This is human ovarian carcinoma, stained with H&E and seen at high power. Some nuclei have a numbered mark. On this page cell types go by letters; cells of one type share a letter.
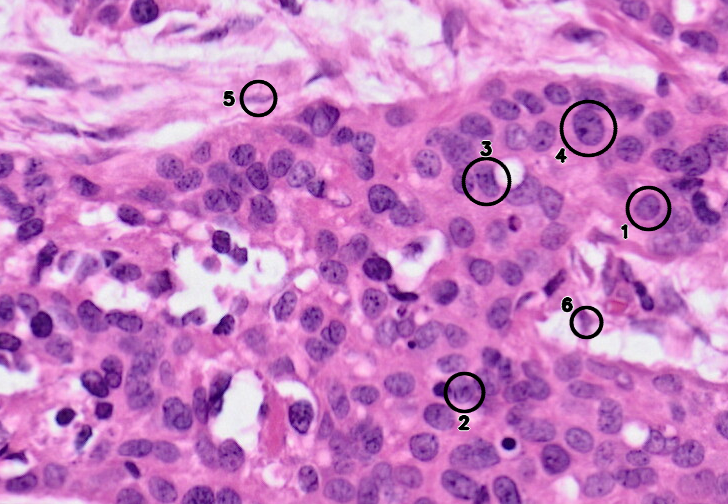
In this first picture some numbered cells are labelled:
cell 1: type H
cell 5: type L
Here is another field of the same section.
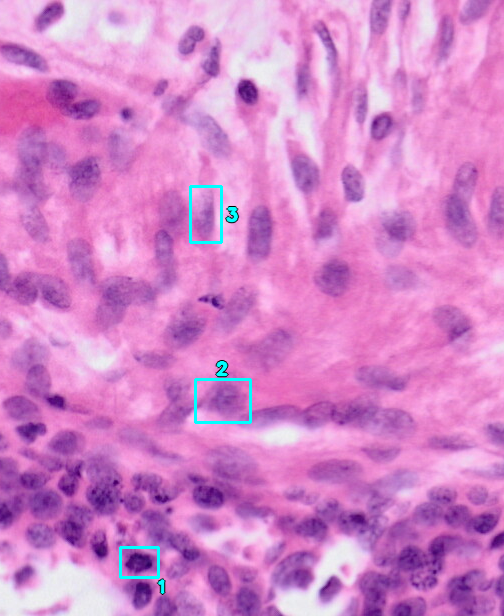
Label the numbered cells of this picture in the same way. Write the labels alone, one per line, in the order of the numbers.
type H
type L
type L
